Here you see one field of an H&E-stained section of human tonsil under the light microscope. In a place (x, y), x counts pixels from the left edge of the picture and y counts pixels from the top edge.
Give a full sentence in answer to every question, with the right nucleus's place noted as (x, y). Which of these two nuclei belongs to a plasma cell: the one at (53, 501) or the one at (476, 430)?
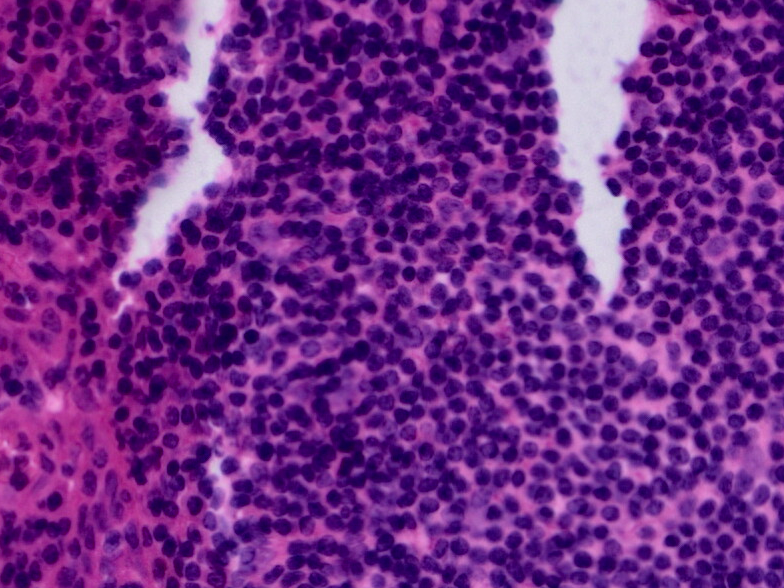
The nucleus whose cell is a plasma cell is the one at (53, 501).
